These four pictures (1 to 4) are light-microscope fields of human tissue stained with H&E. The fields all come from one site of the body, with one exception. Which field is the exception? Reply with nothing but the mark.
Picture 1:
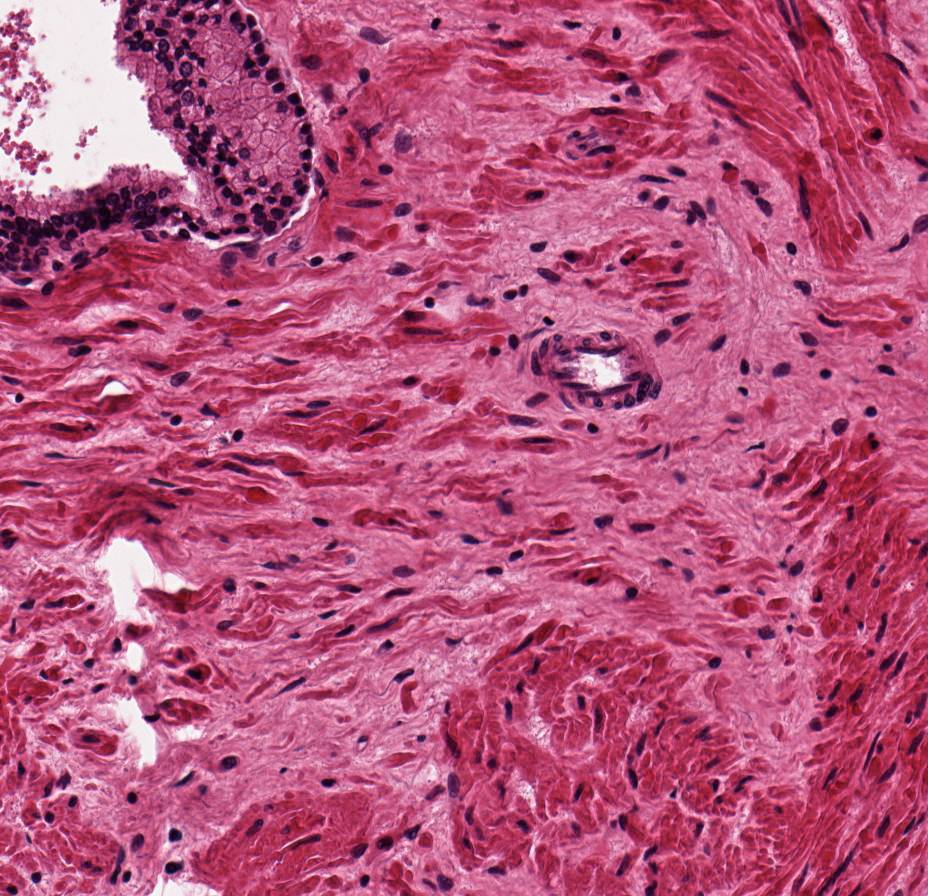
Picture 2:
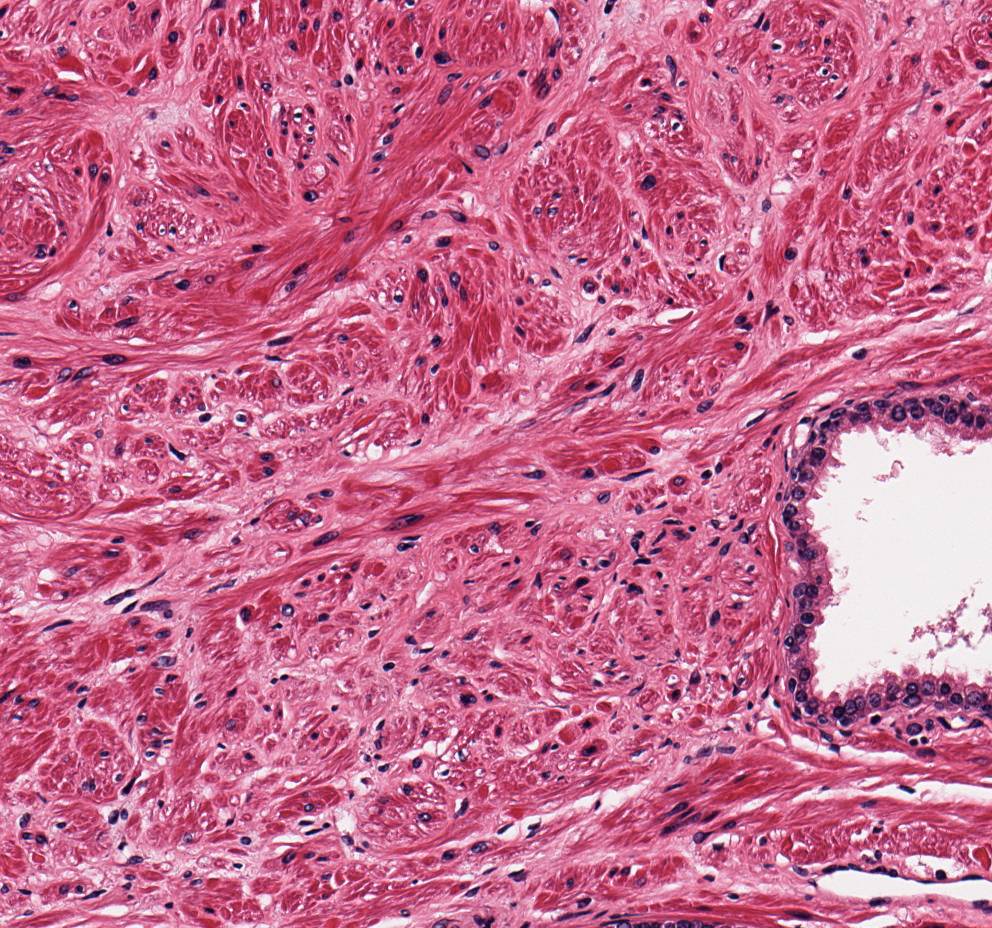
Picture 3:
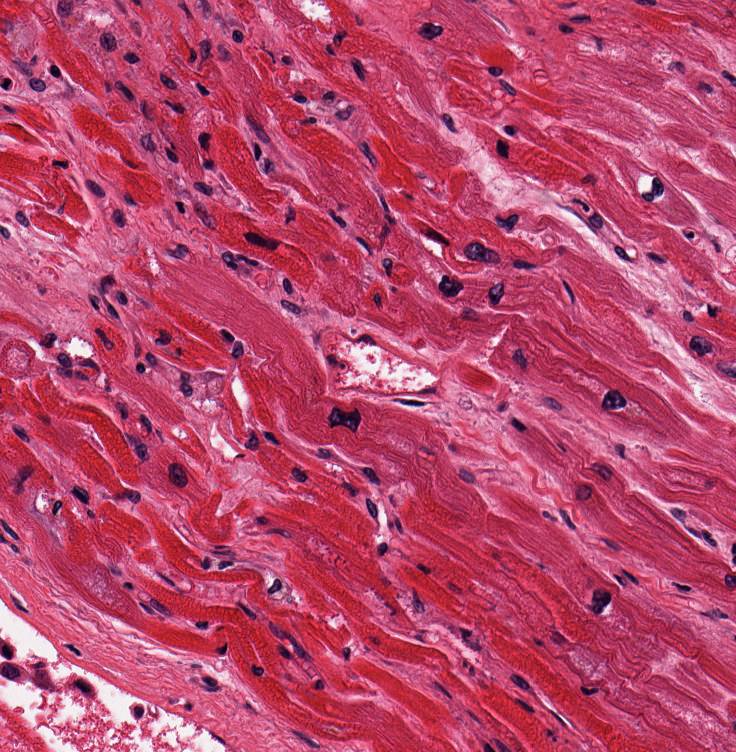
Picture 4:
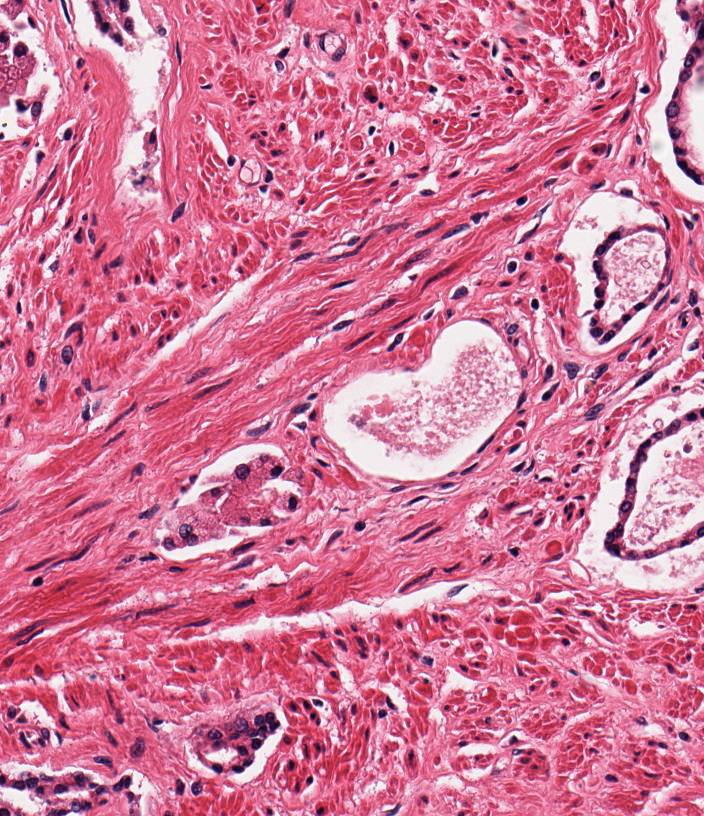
3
